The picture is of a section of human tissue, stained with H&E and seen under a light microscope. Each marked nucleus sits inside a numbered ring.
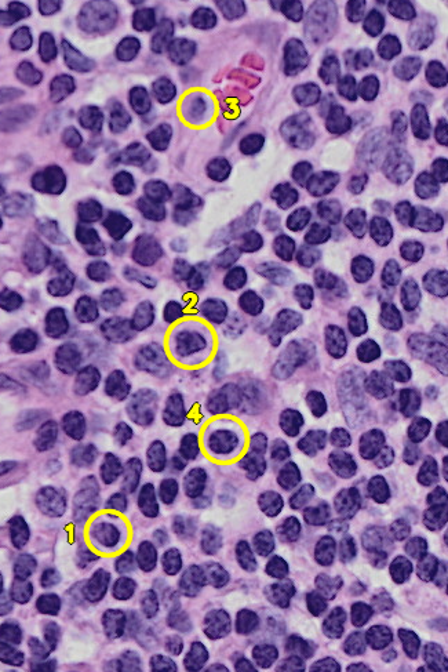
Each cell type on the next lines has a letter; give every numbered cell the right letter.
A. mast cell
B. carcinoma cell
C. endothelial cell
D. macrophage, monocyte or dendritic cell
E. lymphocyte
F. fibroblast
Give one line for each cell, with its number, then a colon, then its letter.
1: E
2: E
3: C
4: E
